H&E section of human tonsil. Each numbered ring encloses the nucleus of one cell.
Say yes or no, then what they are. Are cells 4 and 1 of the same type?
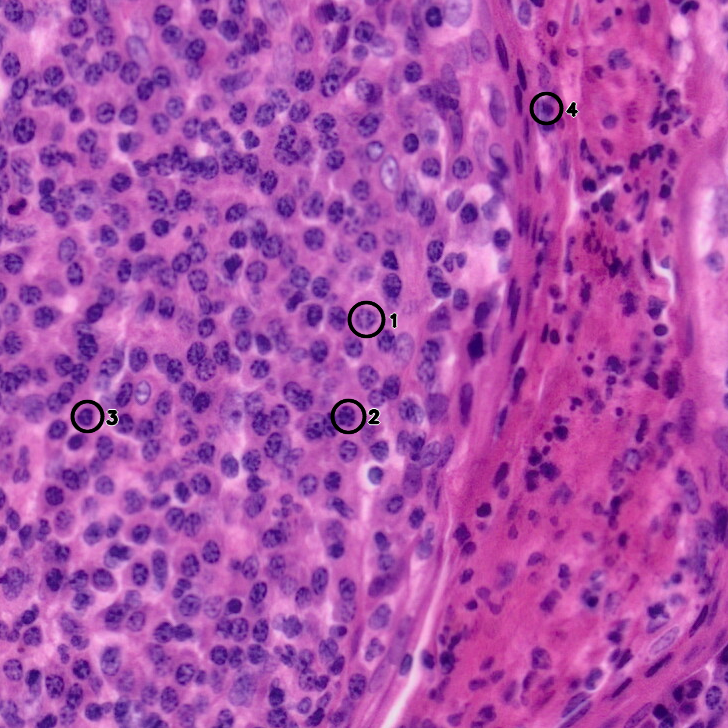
No, unlike cell 4, which is a squamous epithelial cell, cell 1 is a plasma cell.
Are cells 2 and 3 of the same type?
Yes, cells 2 and 3 are both plasma cells.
